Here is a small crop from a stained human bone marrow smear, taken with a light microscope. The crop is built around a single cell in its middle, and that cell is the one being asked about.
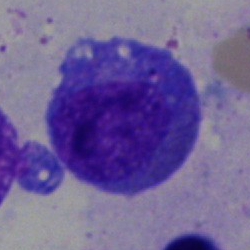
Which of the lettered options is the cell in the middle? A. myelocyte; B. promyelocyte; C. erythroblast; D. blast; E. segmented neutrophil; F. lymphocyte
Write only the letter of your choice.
B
